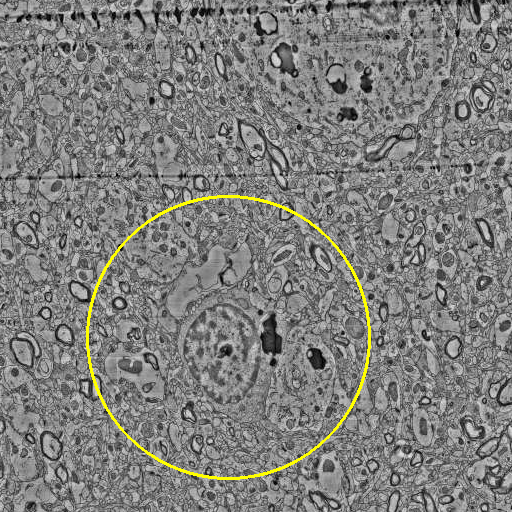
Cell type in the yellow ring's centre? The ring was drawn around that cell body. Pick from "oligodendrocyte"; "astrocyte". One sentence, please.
The ringed cell body is that of an oligodendrocyte.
